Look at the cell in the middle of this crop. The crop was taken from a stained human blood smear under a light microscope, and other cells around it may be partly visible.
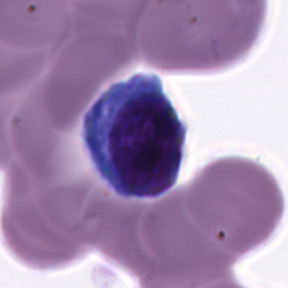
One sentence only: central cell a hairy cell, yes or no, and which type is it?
No, the cell at the centre is a plasma cell, which rules out a hairy cell.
